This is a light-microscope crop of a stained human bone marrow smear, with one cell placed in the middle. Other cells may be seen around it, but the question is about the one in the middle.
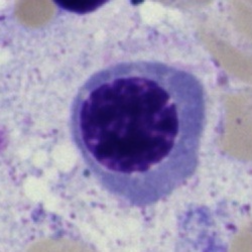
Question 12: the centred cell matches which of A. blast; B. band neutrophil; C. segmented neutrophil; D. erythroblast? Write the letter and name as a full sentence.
That middle cell is an erythroblast, and option D is therefore correct.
